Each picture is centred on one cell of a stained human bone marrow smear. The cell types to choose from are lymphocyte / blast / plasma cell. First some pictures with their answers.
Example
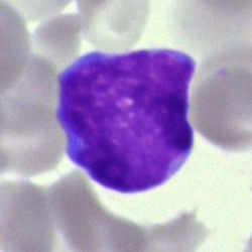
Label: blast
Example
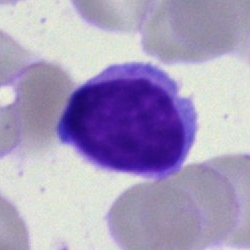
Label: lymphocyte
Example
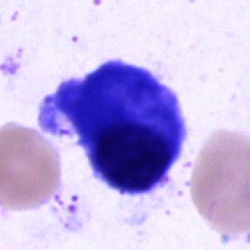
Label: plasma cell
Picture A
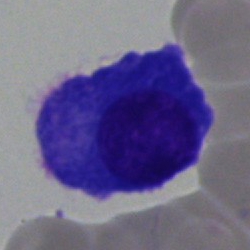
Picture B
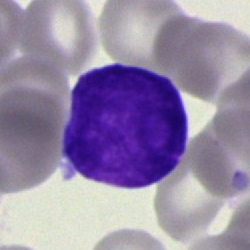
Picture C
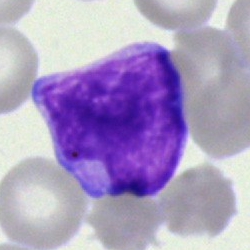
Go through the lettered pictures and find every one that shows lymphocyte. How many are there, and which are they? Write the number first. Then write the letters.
0, none of them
